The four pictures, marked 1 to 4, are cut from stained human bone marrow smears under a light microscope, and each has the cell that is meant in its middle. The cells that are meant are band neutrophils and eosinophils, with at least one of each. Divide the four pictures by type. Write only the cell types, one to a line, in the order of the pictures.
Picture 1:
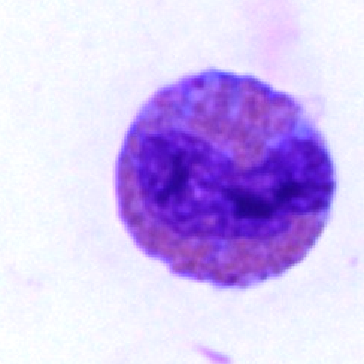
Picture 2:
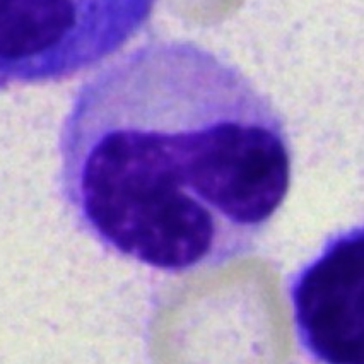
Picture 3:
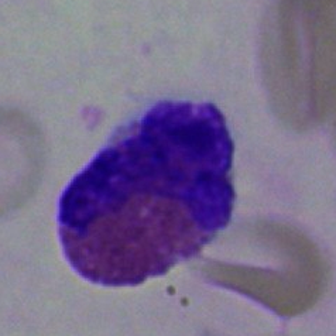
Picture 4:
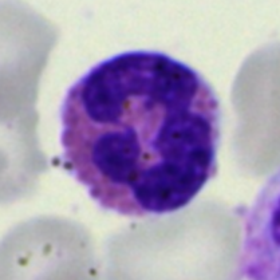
eosinophil
band neutrophil
eosinophil
eosinophil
